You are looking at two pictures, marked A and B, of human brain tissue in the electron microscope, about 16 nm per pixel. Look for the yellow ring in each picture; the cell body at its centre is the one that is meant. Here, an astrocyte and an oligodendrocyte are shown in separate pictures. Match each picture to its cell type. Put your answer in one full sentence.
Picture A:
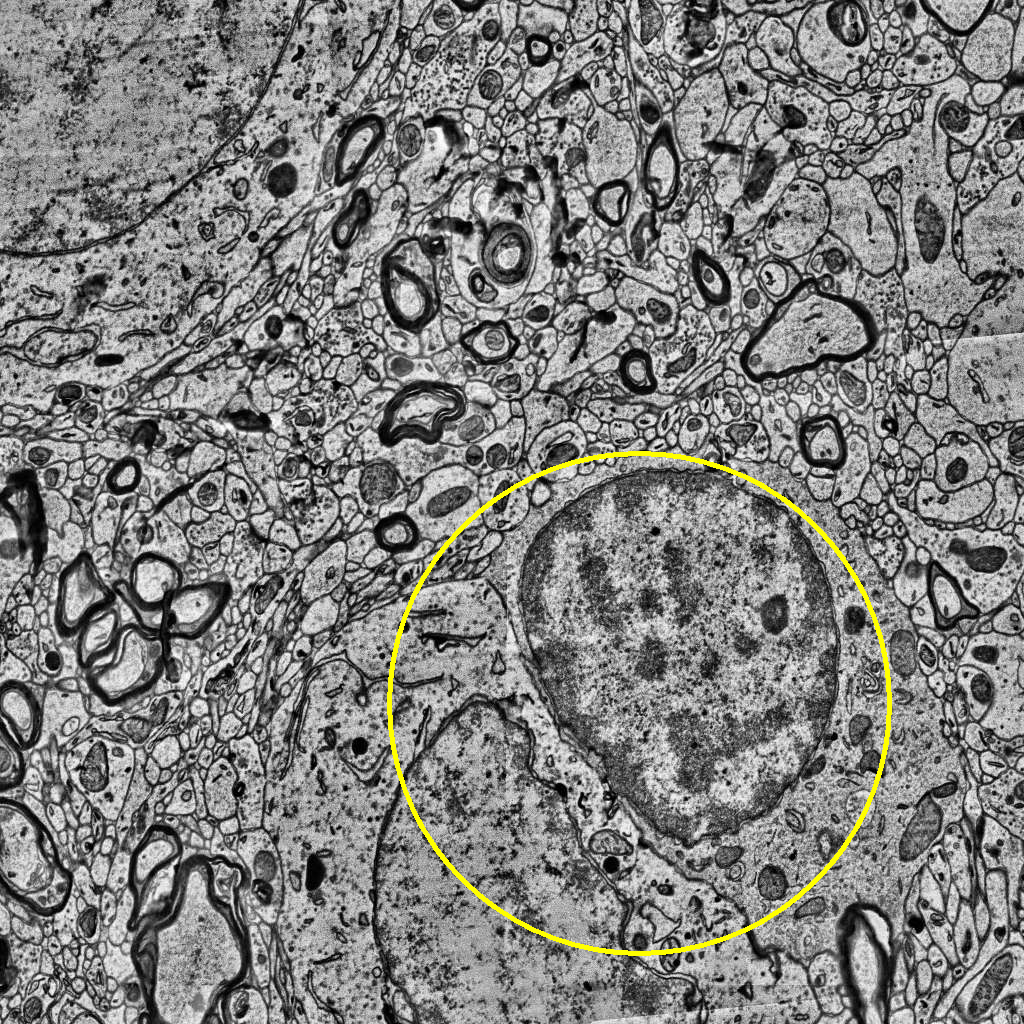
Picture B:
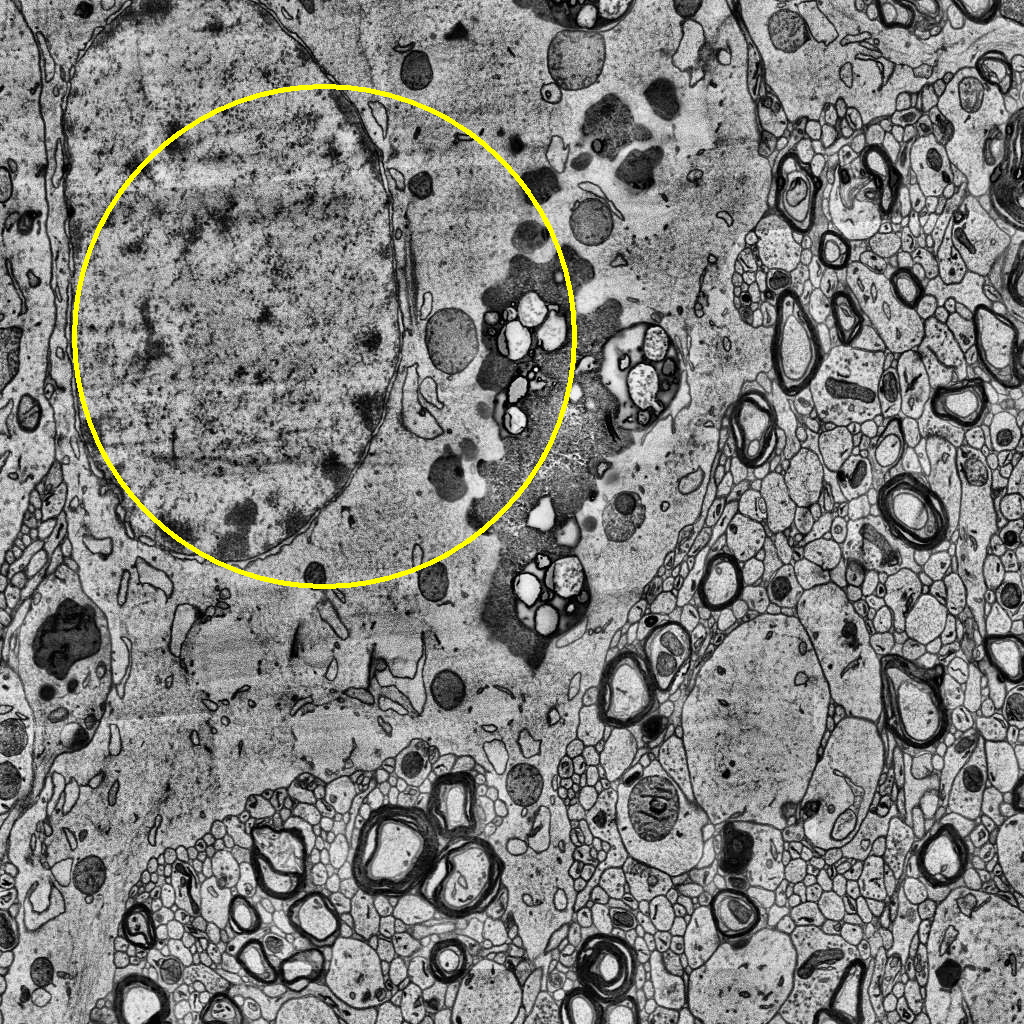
The cell in picture A is an oligodendrocyte, and the one in picture B is an astrocyte.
